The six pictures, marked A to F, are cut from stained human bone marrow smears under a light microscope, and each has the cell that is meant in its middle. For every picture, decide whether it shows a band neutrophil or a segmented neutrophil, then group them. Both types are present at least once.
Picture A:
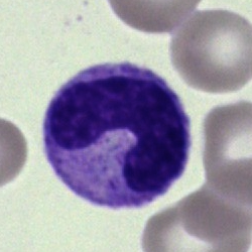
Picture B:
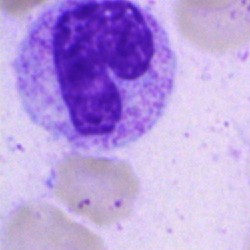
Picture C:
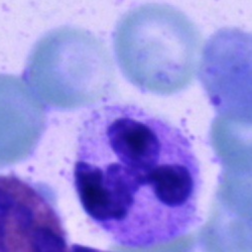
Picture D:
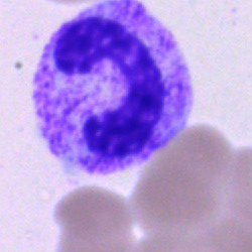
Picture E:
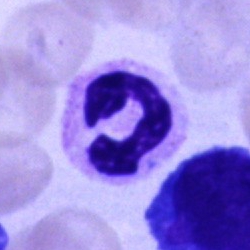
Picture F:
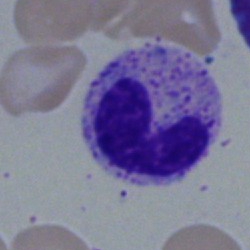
A: band neutrophil
B: band neutrophil
C: segmented neutrophil
D: band neutrophil
E: segmented neutrophil
F: band neutrophil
